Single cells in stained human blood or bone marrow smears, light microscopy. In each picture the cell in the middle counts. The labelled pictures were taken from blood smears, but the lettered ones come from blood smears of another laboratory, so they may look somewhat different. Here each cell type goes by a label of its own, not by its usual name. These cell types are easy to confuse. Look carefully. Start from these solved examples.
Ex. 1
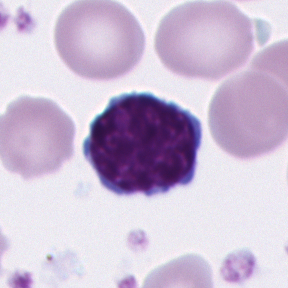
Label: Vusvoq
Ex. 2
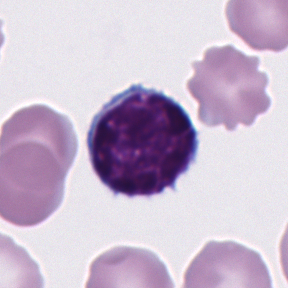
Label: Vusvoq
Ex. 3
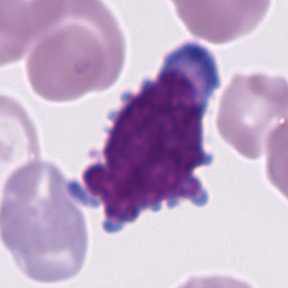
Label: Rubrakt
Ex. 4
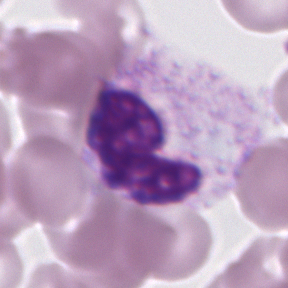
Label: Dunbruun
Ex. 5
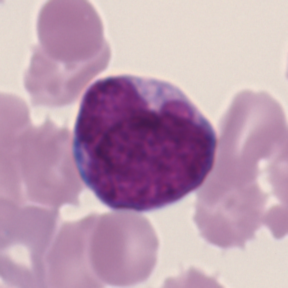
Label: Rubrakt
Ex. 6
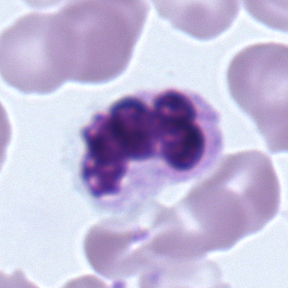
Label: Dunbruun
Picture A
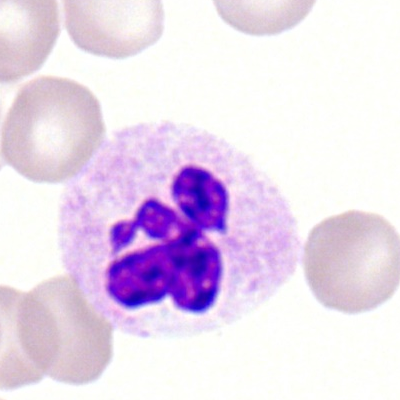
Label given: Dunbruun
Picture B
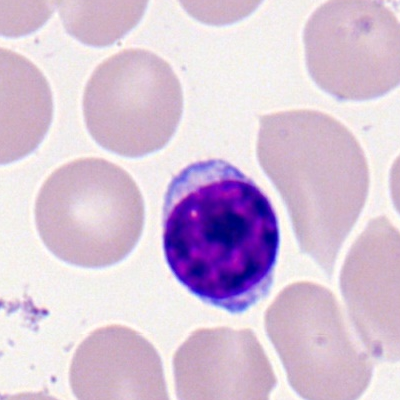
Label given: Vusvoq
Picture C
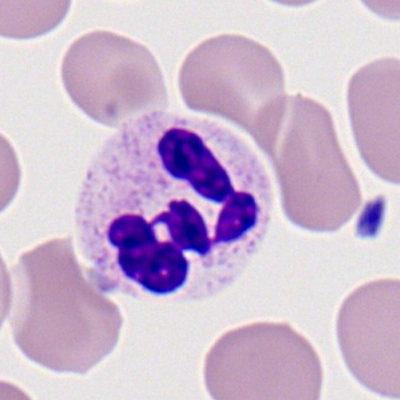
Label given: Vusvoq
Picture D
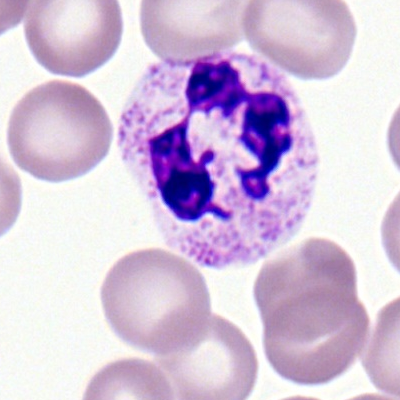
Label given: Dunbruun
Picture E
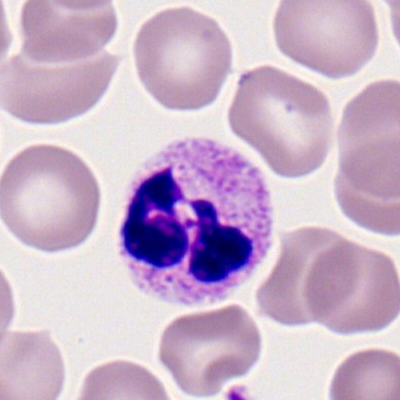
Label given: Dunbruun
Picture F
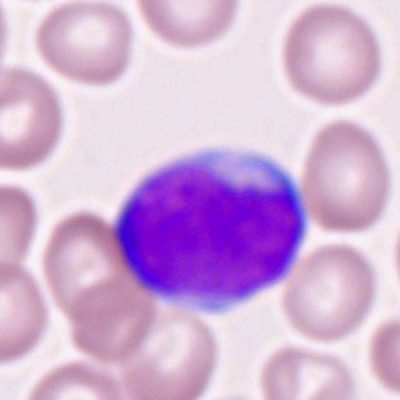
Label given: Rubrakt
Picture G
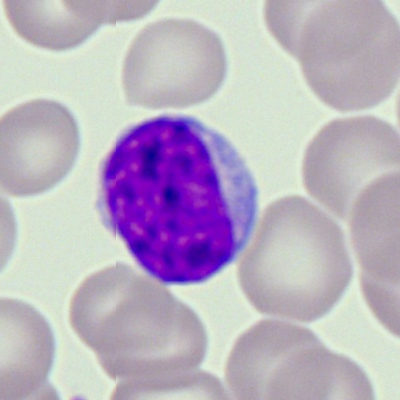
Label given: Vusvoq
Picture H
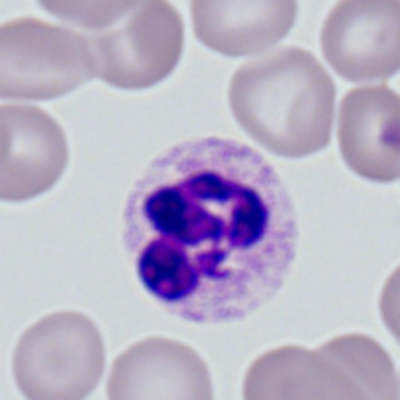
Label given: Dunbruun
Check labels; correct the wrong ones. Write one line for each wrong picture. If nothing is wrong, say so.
C is labelled Vusvoq; correct label: Dunbruun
